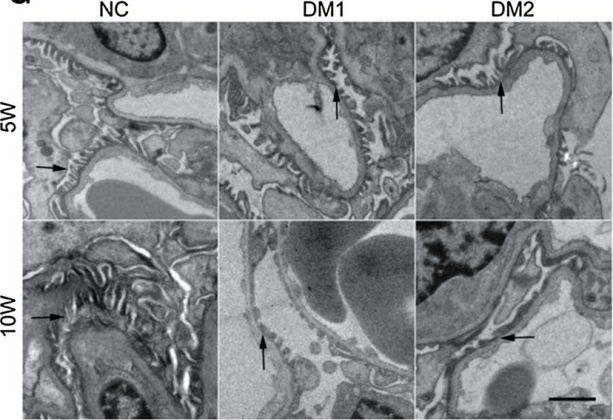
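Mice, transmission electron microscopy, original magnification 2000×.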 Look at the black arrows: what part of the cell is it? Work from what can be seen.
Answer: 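Foot processes. The arrows point to the outer side of a thin dark band lining capillary lumens. In several images small regularly spaced projections sit side by side along this band.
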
